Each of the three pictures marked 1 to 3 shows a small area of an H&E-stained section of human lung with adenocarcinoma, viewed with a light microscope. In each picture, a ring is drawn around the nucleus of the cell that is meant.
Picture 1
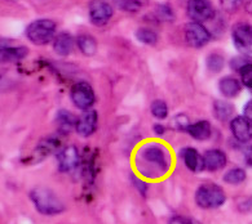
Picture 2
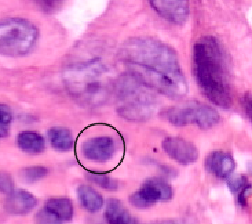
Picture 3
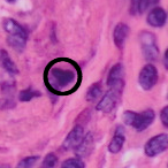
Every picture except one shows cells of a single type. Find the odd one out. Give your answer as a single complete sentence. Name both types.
The different one is picture 3; it shows a plasma cell, whereas all the others show lymphocytes.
